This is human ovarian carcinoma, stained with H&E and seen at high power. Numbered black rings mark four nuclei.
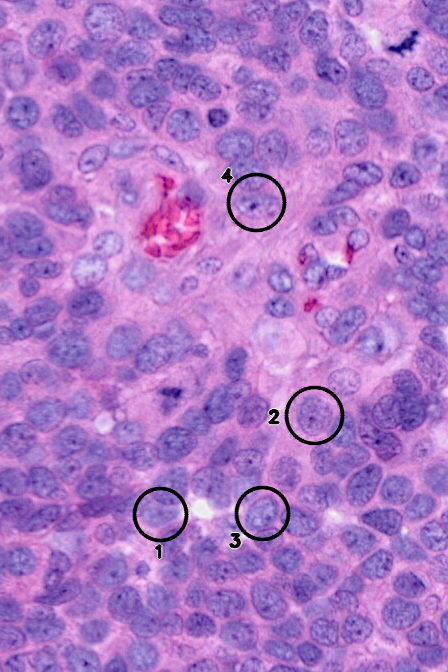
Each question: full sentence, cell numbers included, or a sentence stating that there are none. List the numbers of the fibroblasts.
Only cell 4 is a fibroblast; none of the other numbered cells is.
